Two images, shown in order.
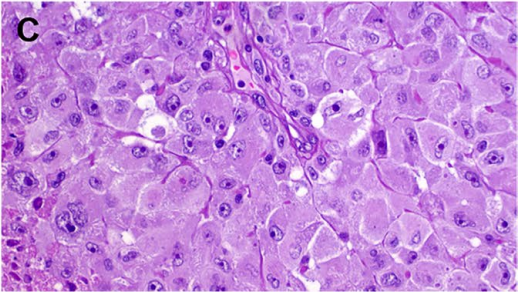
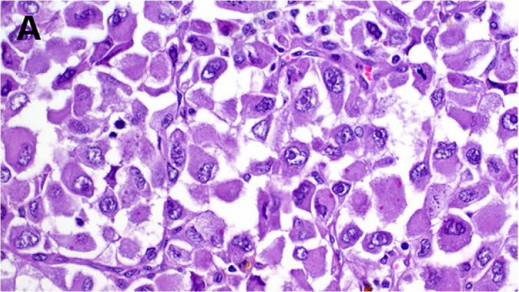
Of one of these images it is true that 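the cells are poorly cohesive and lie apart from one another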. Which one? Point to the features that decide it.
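First image: large polygonal cells press tightly against each other in solid sheets. Second image: large rounded cells are separated by clear spaces.
Hence: the second image.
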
